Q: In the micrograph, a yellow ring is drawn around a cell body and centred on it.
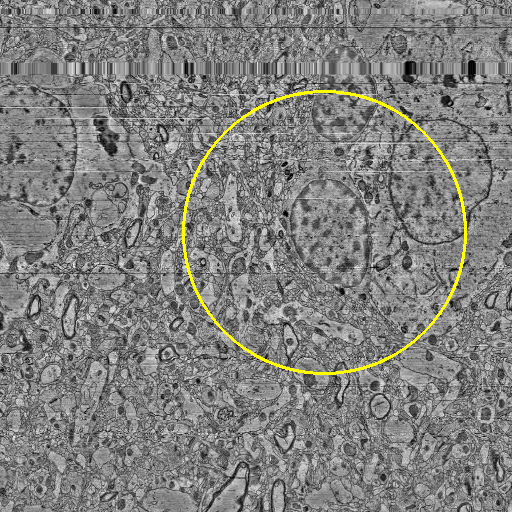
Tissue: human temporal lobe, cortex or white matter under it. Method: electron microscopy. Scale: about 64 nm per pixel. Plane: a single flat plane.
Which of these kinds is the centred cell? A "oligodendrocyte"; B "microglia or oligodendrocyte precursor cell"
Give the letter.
A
